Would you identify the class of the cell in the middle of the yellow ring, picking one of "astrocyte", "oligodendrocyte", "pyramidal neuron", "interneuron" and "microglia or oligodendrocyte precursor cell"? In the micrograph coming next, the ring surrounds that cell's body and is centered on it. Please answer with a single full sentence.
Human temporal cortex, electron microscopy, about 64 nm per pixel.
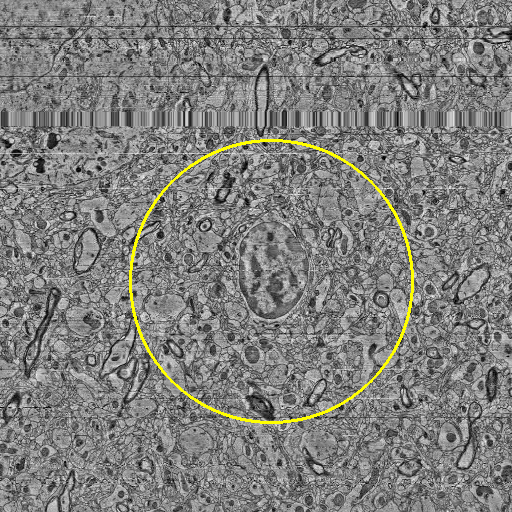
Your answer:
In the micrograph, it is a microglial cell or oligodendrocyte precursor cell whose body lies at the ring's center.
